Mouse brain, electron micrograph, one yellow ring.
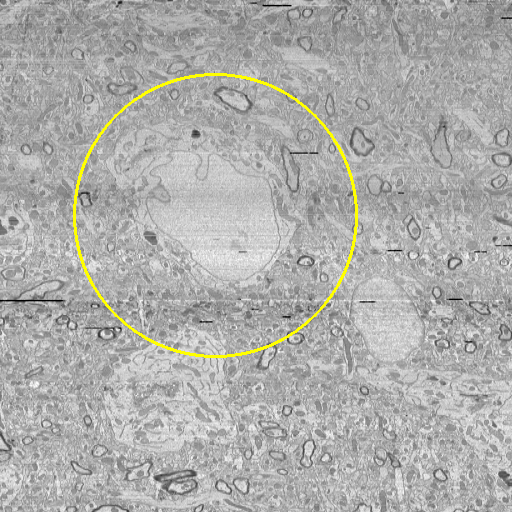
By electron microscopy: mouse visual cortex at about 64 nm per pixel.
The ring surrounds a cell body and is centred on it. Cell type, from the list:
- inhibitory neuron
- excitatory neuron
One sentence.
The yellow ring circles an excitatory neuron.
